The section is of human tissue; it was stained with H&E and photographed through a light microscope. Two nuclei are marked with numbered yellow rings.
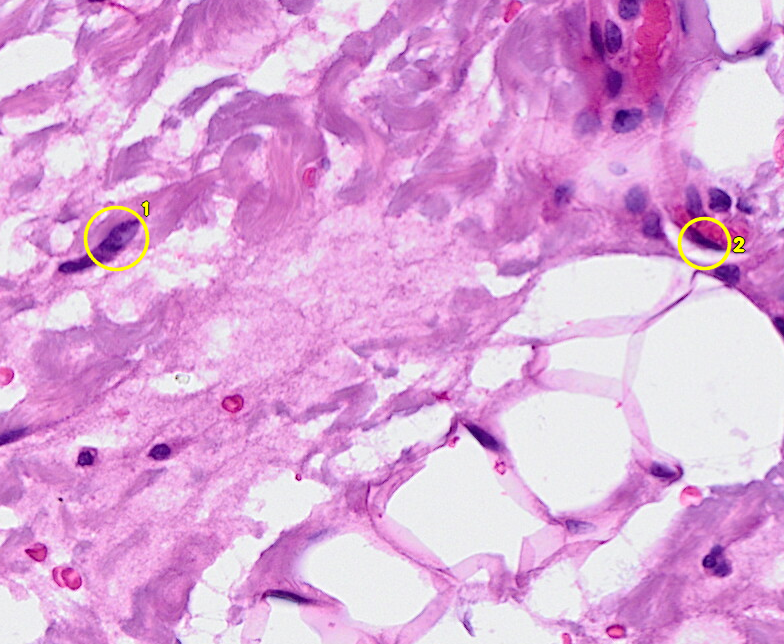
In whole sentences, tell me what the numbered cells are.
Cell 1 is a fibroblast and cell 2 is an endothelial cell.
